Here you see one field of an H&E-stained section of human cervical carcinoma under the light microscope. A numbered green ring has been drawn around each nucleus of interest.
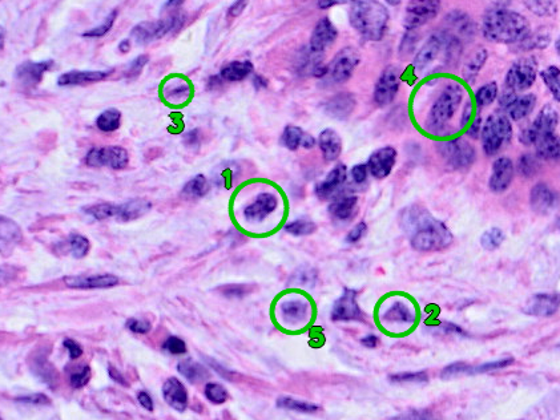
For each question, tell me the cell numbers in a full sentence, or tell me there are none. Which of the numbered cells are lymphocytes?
Only nucleus 1 belongs to a lymphocyte; the other numbered nuclei do not.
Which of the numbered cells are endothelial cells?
The cells whose nuclei carry numbers are not endothelial cells.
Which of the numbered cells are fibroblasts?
Identified as fibroblasts are the cells numbered 2, 3 and 5.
